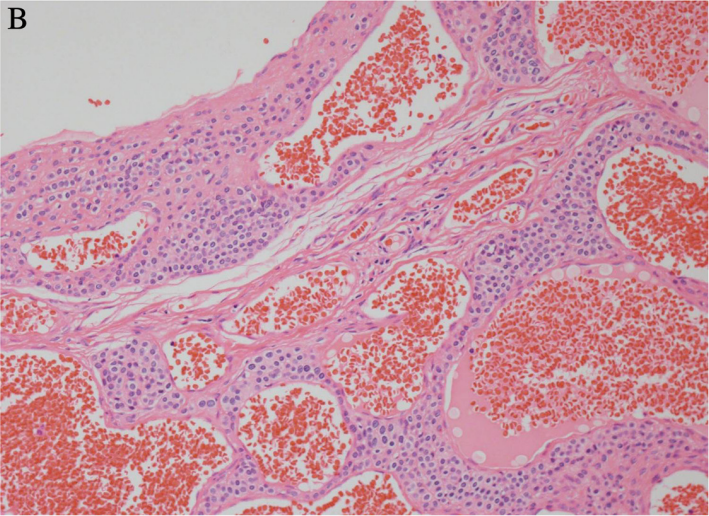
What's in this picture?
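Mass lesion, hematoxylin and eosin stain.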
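This tumor consists of many blood-filled vascular spaces lined by a thin layer of flat endothelial cells, with sheets of round to ovoid cells between them. The round to ovoid cells are uniform, with round, centrally placed dark nuclei and pink cytoplasm. These cells cluster in cuffs around the vessels, and thin strands of pale fibrous stroma cross between the nests. The vessel lumens are packed with red blood cells.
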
